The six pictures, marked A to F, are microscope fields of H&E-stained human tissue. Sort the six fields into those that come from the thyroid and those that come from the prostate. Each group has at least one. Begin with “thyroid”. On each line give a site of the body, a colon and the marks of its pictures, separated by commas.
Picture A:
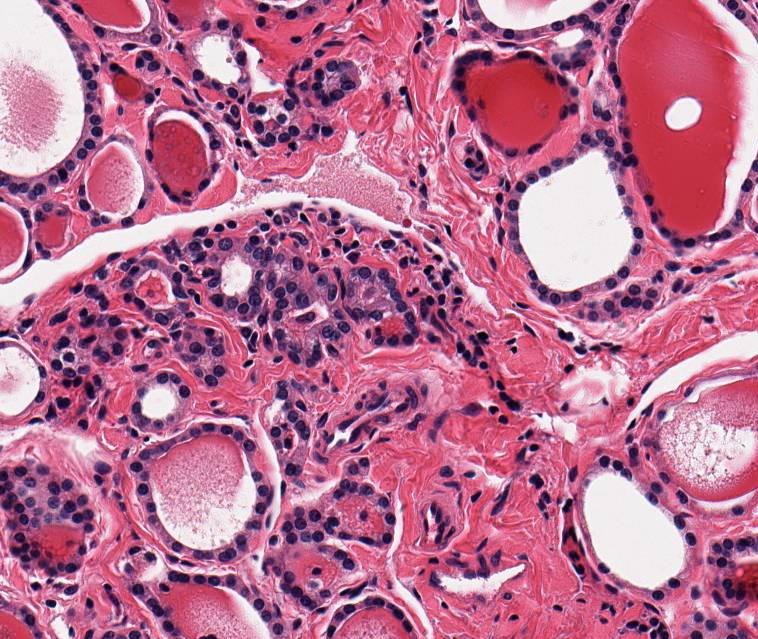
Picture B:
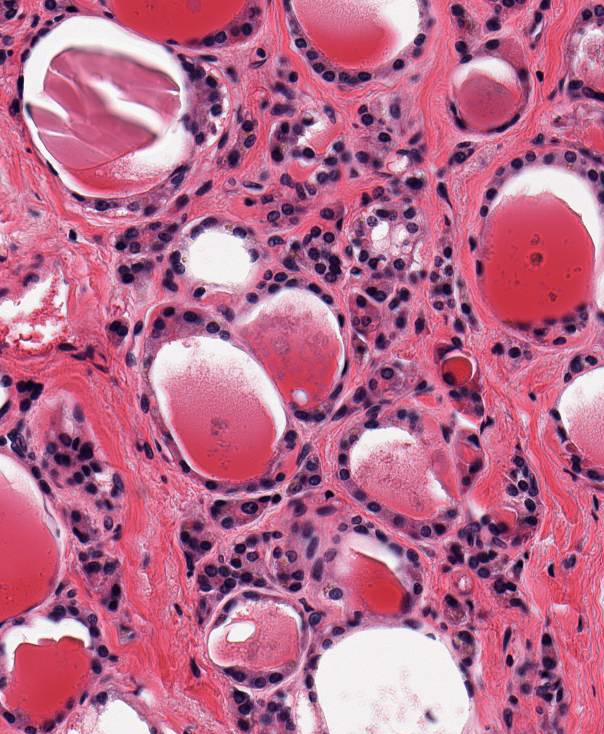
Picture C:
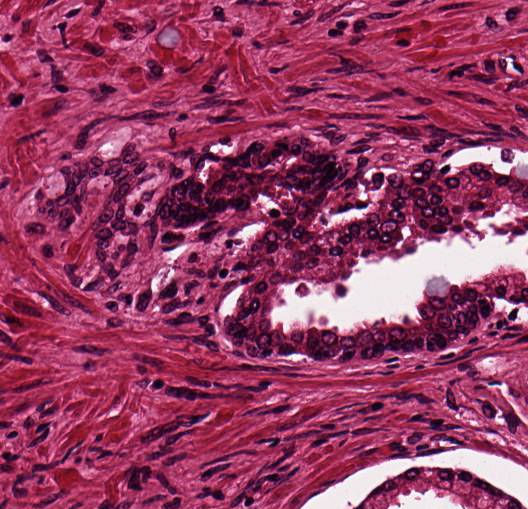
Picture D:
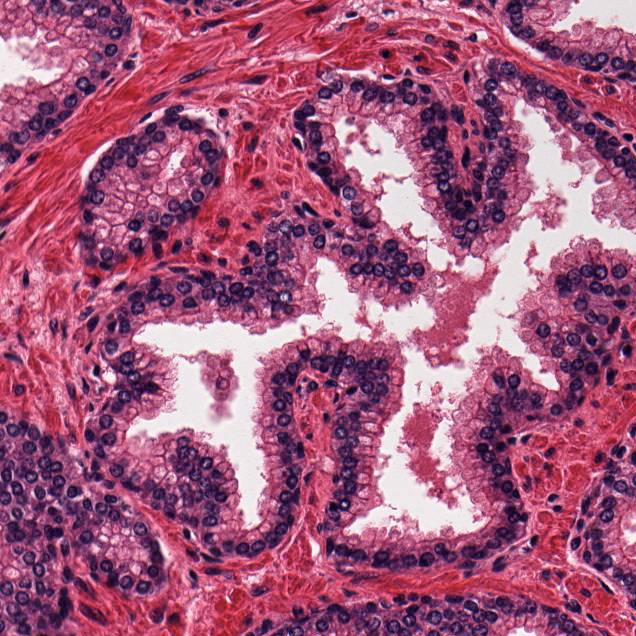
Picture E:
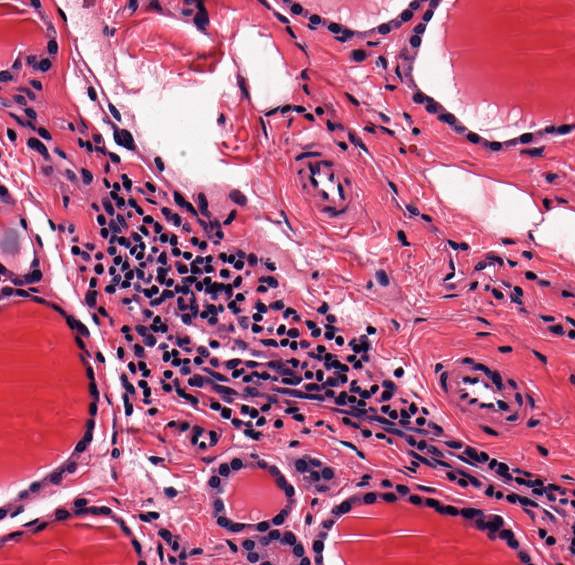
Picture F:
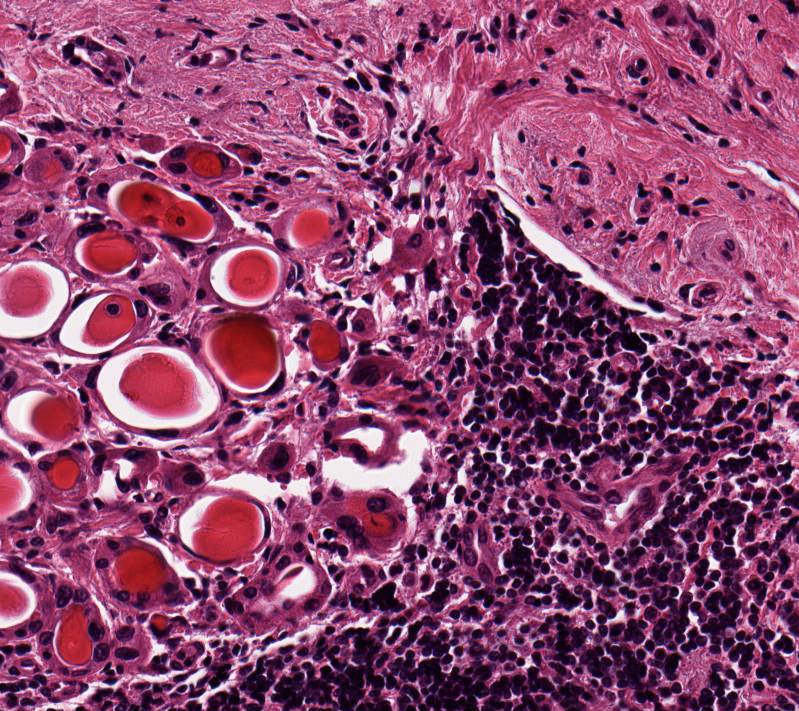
thyroid: A, B, E, F
prostate: C, D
